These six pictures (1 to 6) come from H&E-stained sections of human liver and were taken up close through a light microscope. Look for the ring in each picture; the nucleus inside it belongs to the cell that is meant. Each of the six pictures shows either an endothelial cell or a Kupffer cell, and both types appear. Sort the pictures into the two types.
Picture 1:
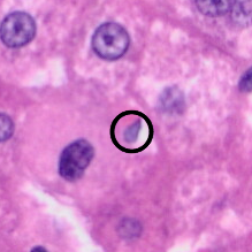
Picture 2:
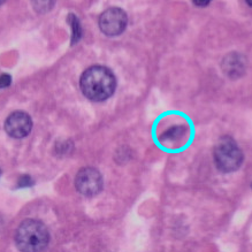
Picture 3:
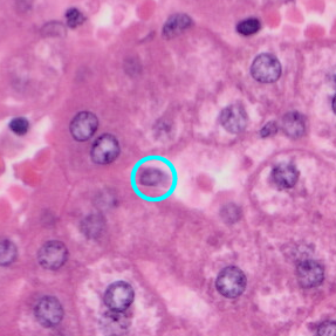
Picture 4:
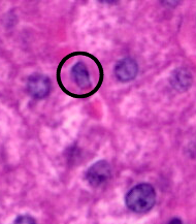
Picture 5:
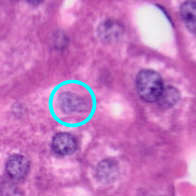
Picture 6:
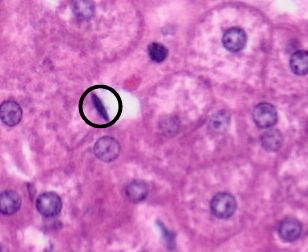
1: endothelial cell
2: endothelial cell
3: Kupffer cell
4: endothelial cell
5: Kupffer cell
6: endothelial cell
